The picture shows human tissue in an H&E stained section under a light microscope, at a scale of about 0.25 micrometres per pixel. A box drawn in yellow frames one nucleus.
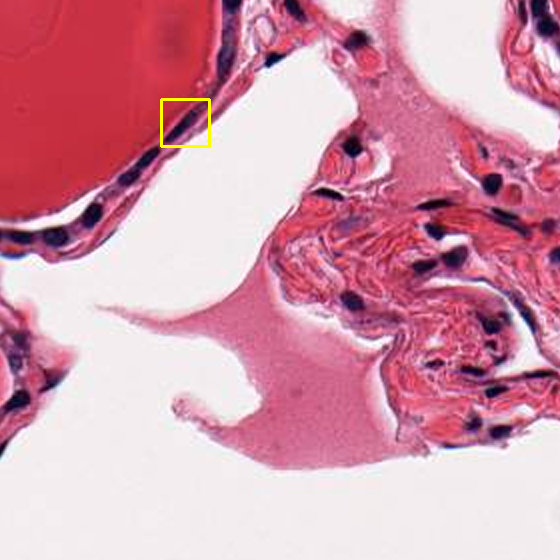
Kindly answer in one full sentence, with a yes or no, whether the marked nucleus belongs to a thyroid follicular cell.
Yes, the marked nucleus, in this picture, is that of a thyroid follicular cell.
